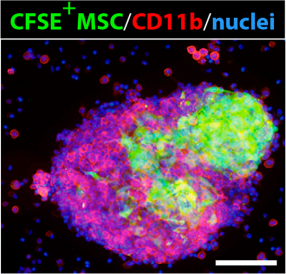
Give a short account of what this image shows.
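The core of the aggregate shows patches of green fluorescence. Over and around it lie many small round cells, each with a red-outlined membrane and a blue nucleus, forming a dense rim. Outside the aggregate, scattered single round cells with blue nuclei lie free, some of them also red-rimmed.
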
